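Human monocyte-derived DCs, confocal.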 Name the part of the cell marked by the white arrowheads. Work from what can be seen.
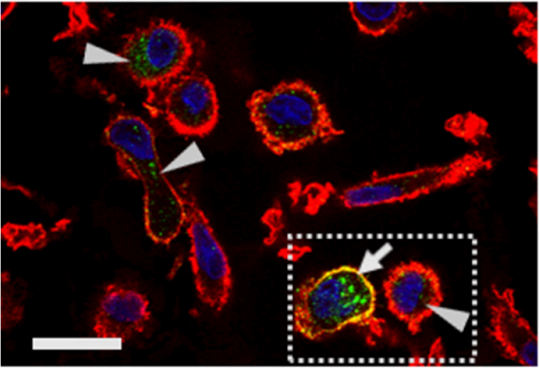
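Vesicles. The cells marked by arrowheads carry small green dots inside the cytoplasm.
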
